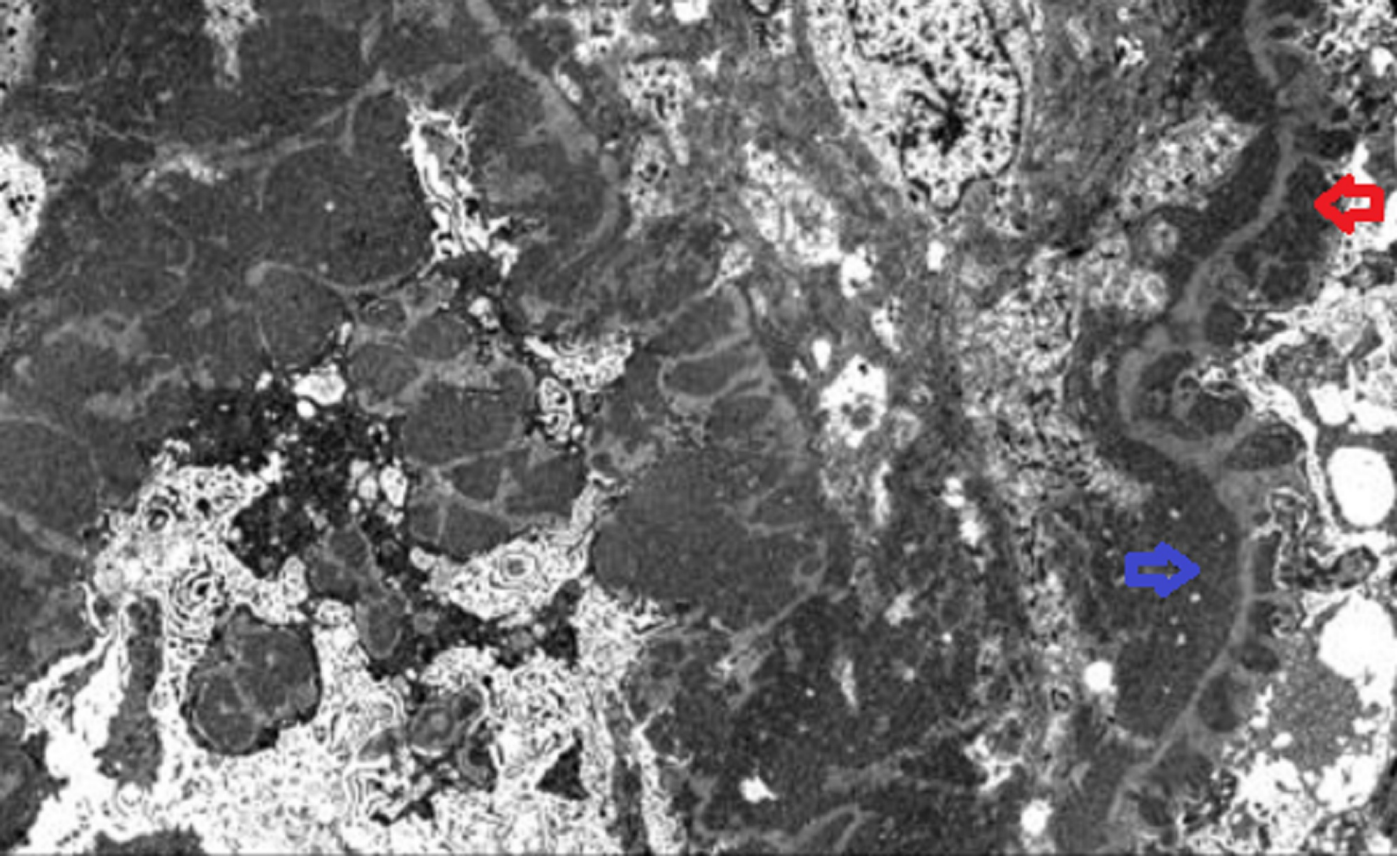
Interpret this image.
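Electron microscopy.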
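This electron micrograph shows basement membranes that are greatly thickened. They run through the field as broad, dark, lumpy bands rather than thin, even lines. Within these bands, dense dark masses lie on either side of a paler gray strip. Pale, vacuolated cytoplasm and at least one nucleus with clumped chromatin lie between the bands.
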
